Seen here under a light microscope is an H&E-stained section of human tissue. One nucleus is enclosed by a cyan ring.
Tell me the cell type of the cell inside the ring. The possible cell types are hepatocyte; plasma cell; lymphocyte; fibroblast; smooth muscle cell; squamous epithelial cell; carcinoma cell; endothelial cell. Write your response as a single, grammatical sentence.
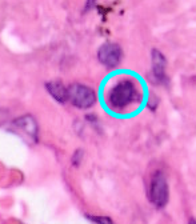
At the level of cell identity, the cell inside the ring is a plasma cell.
